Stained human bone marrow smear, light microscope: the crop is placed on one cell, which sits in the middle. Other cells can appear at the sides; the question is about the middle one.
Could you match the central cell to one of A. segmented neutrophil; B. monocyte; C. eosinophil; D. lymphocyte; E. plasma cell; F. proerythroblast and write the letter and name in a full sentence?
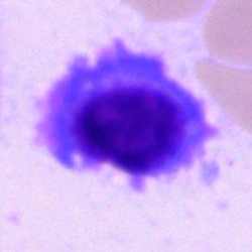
The centered cell is a plasma cell, which is why option E is right.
